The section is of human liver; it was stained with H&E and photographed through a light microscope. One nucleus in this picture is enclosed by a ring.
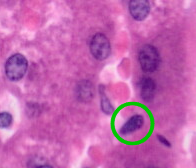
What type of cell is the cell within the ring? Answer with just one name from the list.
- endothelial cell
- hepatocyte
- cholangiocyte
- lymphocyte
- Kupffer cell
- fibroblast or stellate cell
fibroblast or stellate cell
